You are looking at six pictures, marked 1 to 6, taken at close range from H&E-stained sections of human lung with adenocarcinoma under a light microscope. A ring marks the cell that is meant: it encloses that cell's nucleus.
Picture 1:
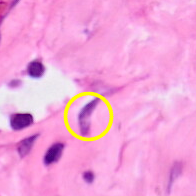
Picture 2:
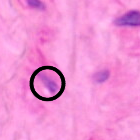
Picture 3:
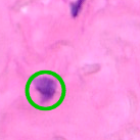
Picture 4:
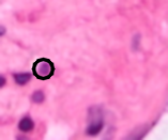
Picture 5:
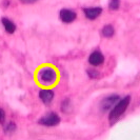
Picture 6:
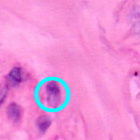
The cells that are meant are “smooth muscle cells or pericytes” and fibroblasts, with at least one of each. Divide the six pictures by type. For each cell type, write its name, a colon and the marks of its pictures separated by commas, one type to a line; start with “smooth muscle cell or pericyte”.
smooth muscle cell or pericyte: 2, 4, 5, 6
fibroblast: 1, 3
